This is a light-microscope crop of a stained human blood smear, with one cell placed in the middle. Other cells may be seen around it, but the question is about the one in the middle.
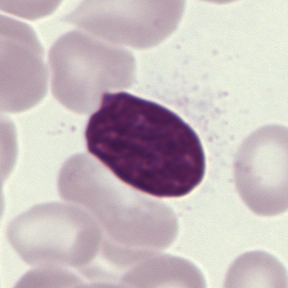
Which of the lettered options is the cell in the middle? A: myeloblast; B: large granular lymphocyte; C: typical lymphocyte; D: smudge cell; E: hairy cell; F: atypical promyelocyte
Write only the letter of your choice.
D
